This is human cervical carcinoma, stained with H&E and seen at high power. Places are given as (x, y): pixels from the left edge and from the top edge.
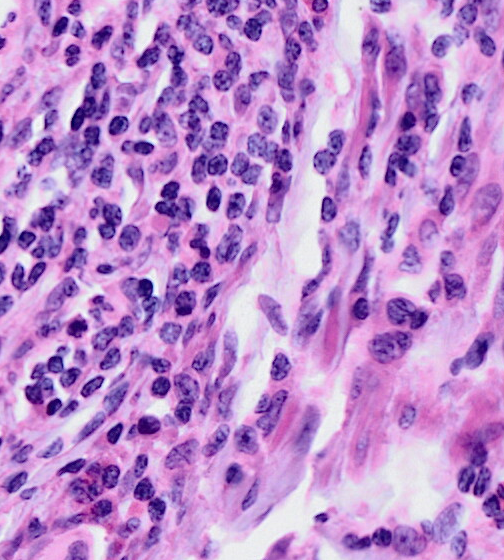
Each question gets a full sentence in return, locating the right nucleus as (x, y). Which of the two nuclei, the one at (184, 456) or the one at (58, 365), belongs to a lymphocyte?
Among the two nuclei, the one lying at (58, 365) is part of a lymphocyte.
